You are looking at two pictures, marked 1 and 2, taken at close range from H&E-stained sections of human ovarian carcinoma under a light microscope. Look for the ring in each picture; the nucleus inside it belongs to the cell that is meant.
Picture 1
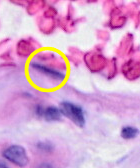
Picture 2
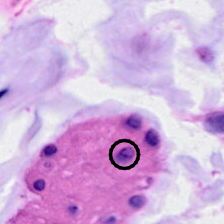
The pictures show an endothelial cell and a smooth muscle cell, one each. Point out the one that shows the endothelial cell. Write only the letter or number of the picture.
1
